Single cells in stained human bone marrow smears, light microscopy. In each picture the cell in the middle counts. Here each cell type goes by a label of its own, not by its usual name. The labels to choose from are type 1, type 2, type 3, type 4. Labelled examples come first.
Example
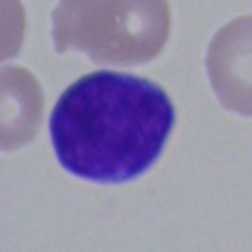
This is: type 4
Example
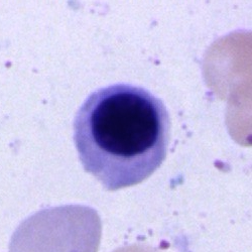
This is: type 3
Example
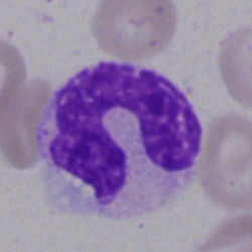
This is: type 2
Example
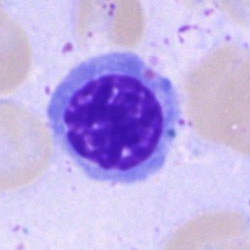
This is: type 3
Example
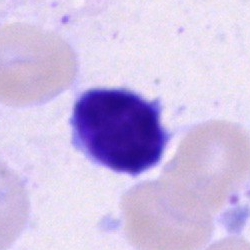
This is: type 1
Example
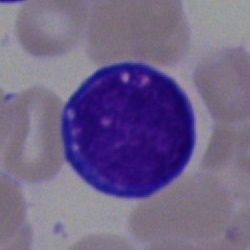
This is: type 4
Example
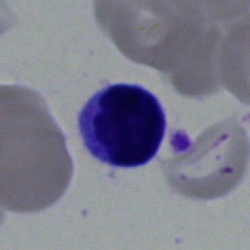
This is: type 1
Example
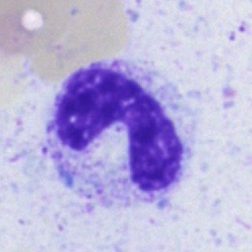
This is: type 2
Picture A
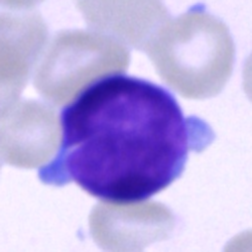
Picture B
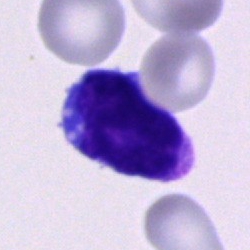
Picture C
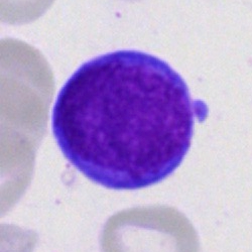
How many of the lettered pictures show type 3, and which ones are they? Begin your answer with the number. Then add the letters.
0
